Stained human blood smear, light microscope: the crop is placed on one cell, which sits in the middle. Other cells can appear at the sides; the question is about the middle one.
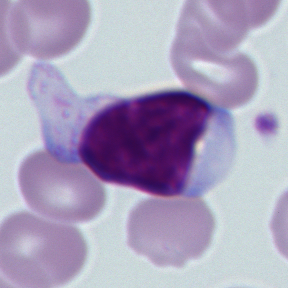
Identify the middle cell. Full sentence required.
Looking at the middle of the crop, the cell there is a large granular lymphocyte.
